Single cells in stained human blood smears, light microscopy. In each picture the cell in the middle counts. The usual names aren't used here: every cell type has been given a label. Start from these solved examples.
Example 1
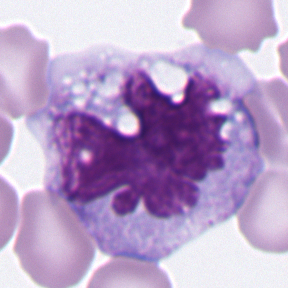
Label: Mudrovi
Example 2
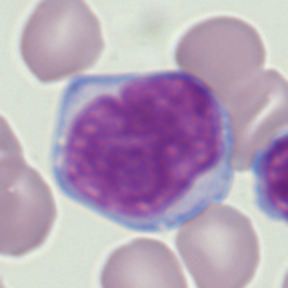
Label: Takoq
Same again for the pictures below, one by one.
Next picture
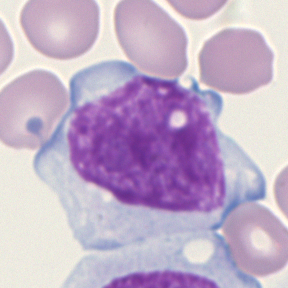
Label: Takoq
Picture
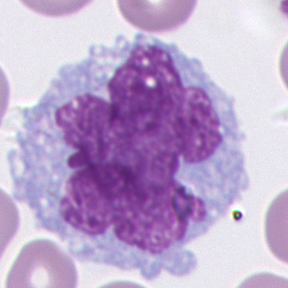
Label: Mudrovi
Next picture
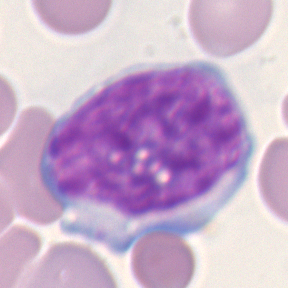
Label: Takoq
